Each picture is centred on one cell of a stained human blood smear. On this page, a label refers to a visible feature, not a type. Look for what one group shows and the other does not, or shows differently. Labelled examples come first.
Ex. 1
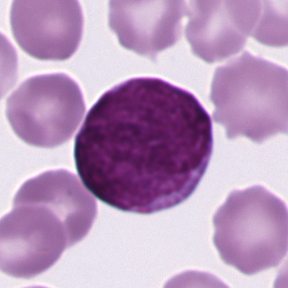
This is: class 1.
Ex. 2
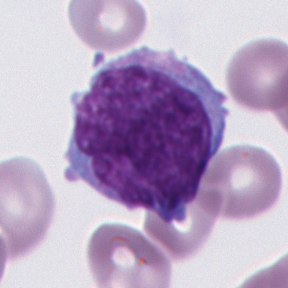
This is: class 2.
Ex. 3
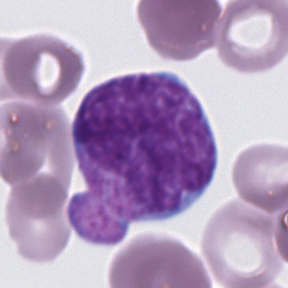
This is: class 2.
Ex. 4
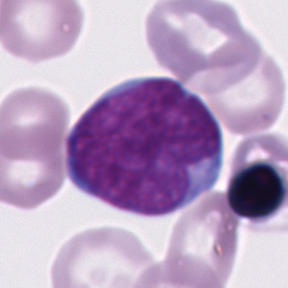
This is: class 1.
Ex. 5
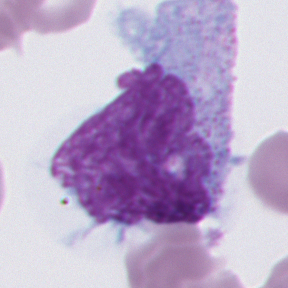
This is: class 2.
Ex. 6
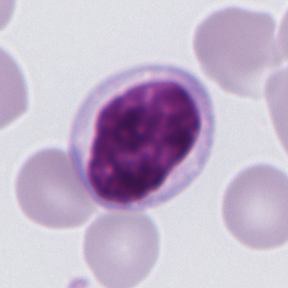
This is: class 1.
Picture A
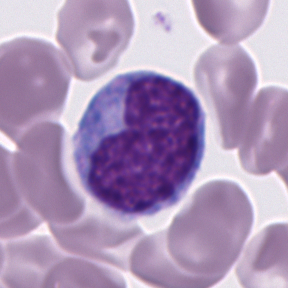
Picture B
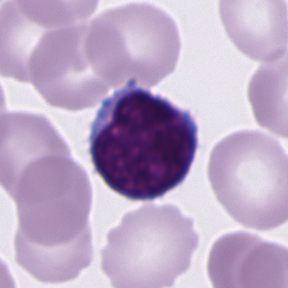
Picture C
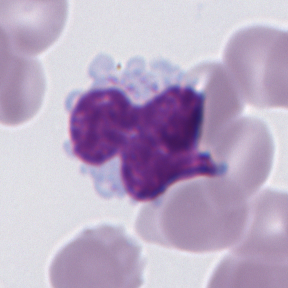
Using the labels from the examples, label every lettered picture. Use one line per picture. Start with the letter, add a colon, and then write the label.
A: class 1.
B: class 2.
C: class 2.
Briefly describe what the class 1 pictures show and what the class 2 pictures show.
Seen in class 1: smooth outline; seen in class 2: ragged outline or projections.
